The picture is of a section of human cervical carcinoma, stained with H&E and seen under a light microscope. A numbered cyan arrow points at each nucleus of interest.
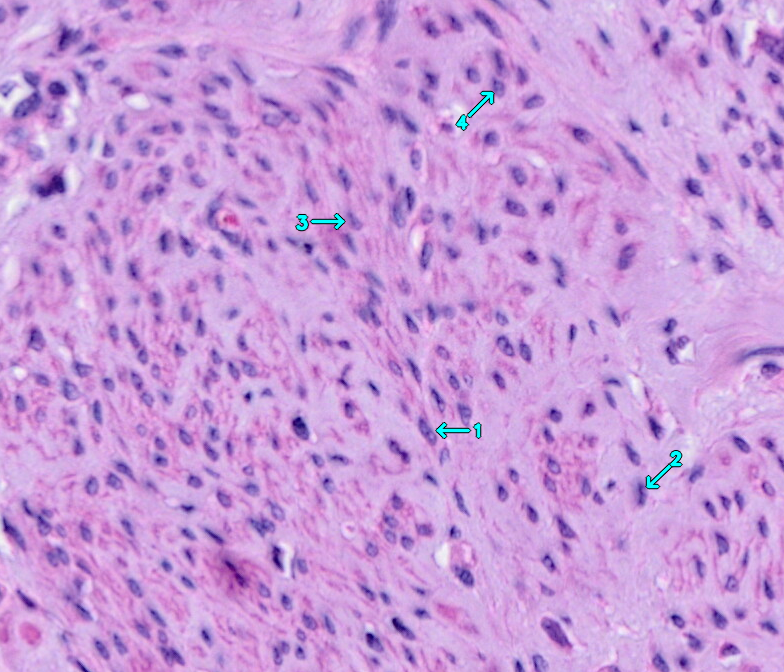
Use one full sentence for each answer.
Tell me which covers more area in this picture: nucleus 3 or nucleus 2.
Nucleus 2 is the larger one, covering about 2 times the area of nucleus 3.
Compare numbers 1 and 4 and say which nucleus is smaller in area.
The smaller nucleus is 4, and 1 covers roughly 1.5 times its area.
